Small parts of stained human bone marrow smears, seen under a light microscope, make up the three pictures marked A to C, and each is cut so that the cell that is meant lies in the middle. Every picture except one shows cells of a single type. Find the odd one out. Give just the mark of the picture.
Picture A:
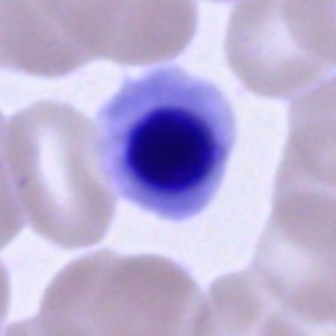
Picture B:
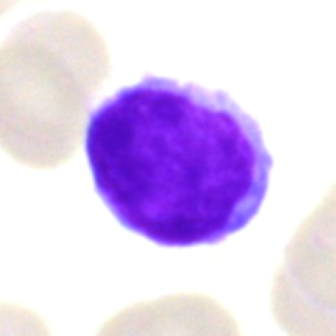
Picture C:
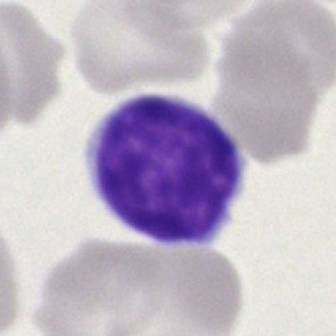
A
